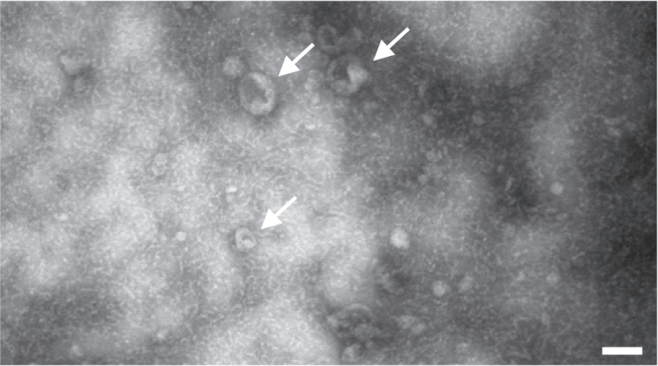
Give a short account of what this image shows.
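Scattered over a mottled grey background lie small, round particles, each bounded by a thin pale rim. Several of them, at the upper middle and lower left, have a darker, sunken centre, so that they look like shallow cups or collapsed spheres. They vary somewhat in size, and smaller round profiles are dotted around them. No whole cells, nuclei or organelles inside cells are to be seen, only these free particles.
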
